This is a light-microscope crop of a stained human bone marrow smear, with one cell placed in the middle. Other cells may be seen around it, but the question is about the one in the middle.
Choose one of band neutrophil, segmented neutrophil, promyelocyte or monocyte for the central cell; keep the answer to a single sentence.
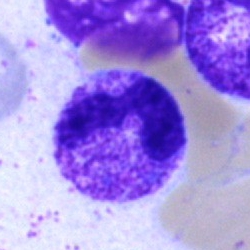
The central cell, amid any neighbouring cells, is a segmented neutrophil.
